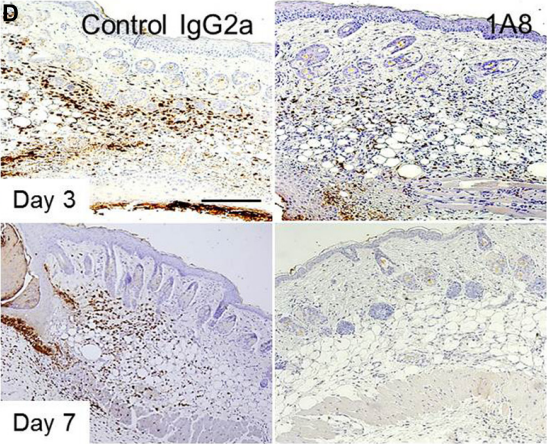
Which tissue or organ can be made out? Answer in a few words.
skin tissue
